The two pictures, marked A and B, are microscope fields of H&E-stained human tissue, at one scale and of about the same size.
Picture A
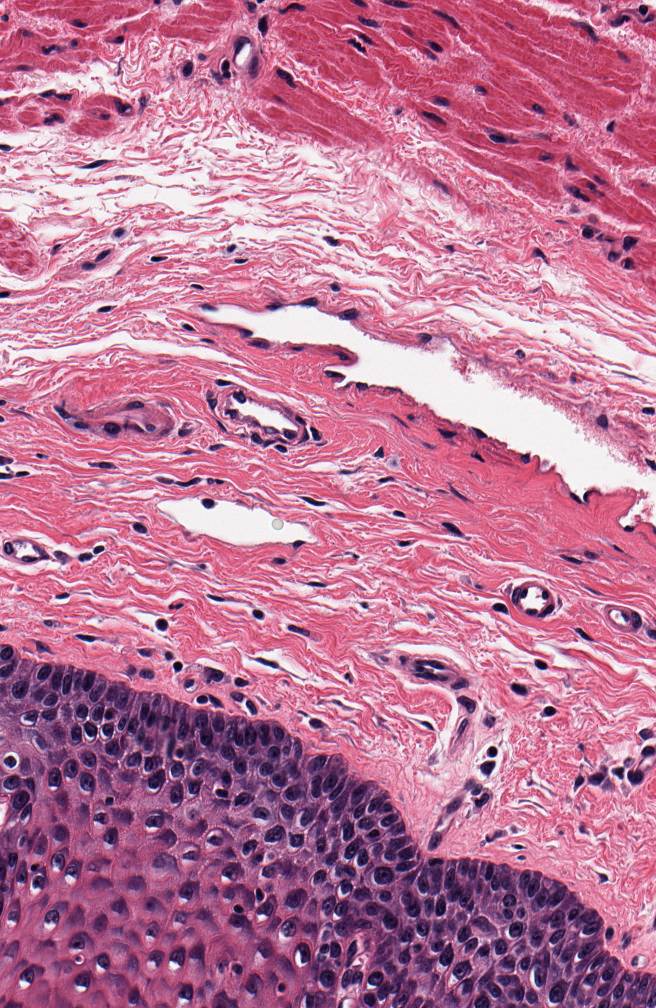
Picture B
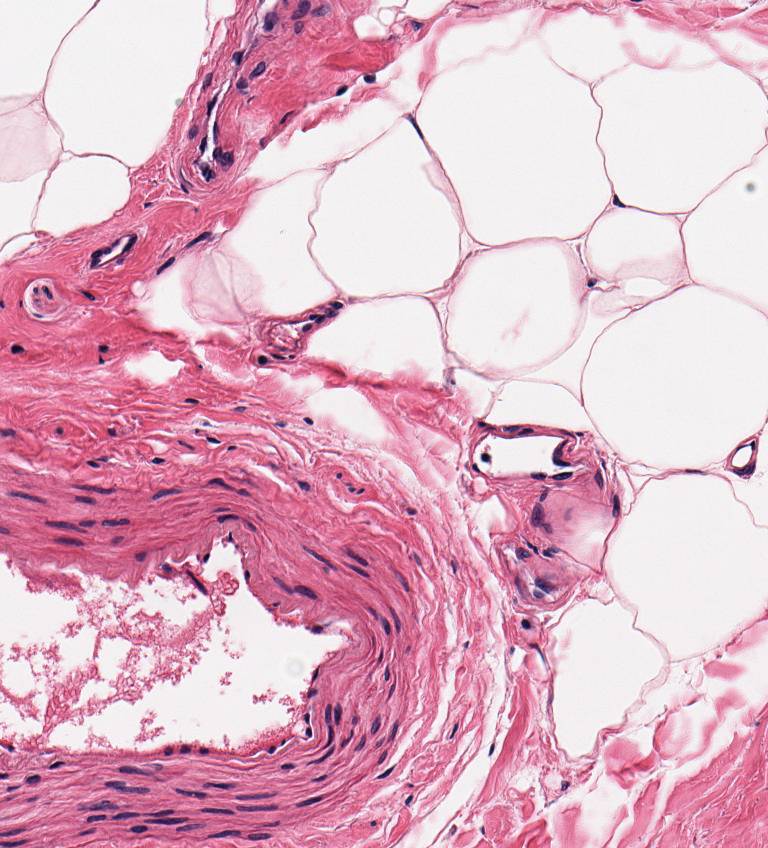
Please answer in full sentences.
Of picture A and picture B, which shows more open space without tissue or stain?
More of picture B is empty and white.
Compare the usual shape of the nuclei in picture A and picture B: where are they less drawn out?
It is picture A whose nuclei are the rounder.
